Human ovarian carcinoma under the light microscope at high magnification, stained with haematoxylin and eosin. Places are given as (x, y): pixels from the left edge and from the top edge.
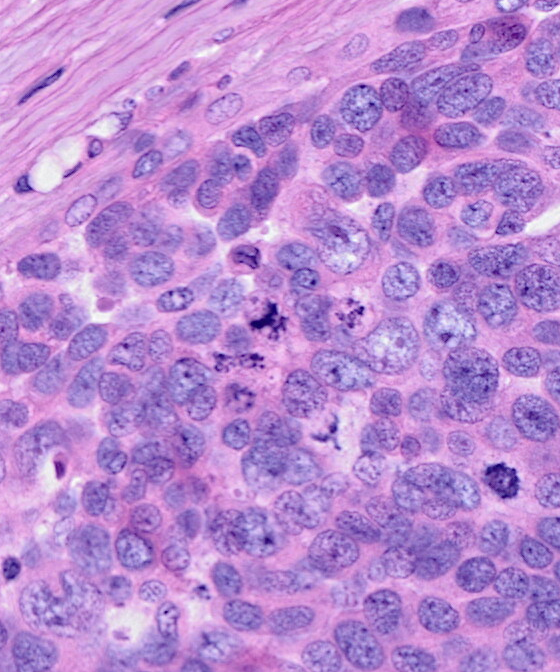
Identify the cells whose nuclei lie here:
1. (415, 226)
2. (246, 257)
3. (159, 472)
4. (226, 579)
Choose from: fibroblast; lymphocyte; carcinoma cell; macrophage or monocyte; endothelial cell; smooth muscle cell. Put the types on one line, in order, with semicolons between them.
carcinoma cell; macrophage or monocyte; carcinoma cell; carcinoma cell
